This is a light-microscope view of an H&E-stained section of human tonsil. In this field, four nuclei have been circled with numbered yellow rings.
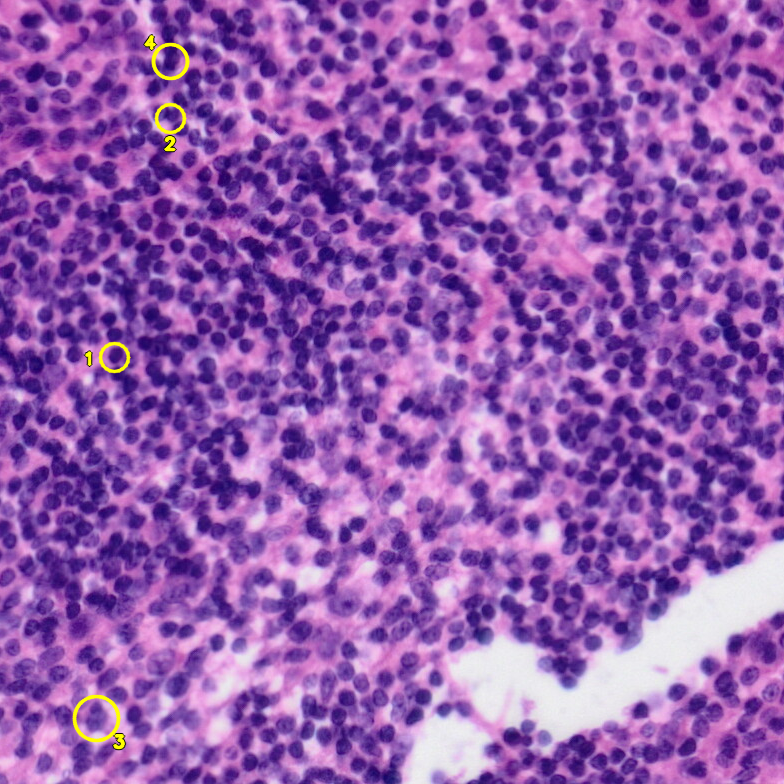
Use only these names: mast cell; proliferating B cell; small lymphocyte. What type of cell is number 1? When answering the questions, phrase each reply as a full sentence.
The cell marked with the number 1 is a small lymphocyte.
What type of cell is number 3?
Identified as a proliferating B cell is the cell bearing the number 3.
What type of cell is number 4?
The marked cell bearing number 4 is a small lymphocyte.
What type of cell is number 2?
The cell indicated with the number 2 is classed as a small lymphocyte.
